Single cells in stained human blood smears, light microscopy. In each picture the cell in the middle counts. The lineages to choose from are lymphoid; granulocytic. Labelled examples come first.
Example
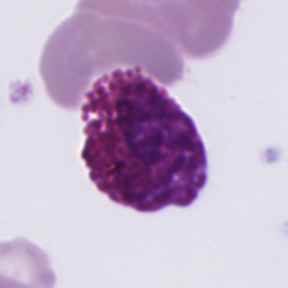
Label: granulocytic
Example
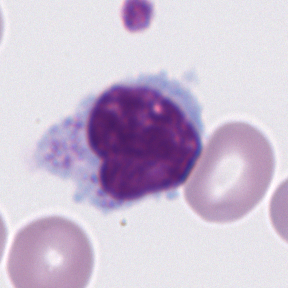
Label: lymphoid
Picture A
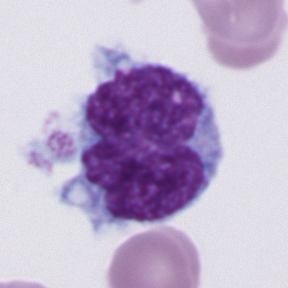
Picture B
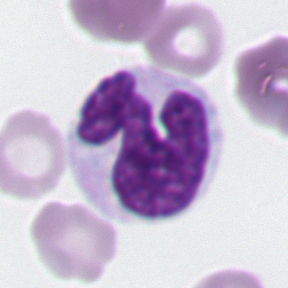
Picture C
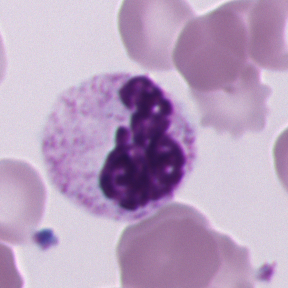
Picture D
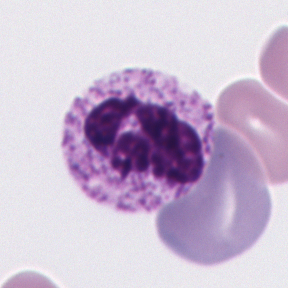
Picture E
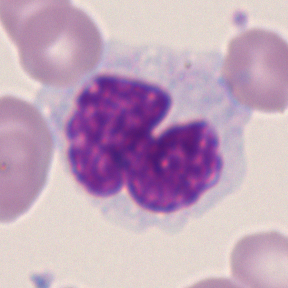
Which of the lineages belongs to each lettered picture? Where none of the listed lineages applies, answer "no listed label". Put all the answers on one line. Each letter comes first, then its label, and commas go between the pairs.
A no listed label, B granulocytic, C granulocytic, D granulocytic, E no listed label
